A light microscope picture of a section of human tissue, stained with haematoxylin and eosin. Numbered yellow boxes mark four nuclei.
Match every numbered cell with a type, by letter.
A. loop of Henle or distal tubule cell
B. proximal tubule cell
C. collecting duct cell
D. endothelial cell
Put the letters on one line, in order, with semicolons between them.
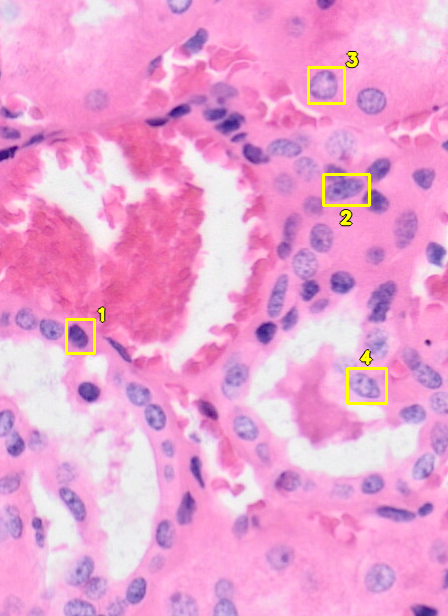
C; C; B; C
